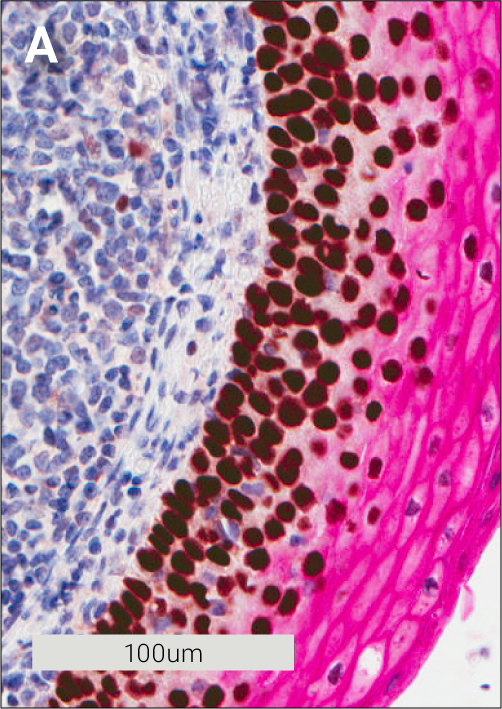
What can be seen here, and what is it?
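This is tonsil, with a stratified squamous epithelium lying over densely packed lymphoid tissue. The nuclei of the basal and lower layers of the epithelium are stained a very dark brown and are crowded and round to oval. Toward the surface the cells flatten, their cytoplasm and borders turning bright magenta while their nuclei are only faintly stained. Beneath the epithelium, the lymphoid cells are small, with round blue-counterstained nuclei.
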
